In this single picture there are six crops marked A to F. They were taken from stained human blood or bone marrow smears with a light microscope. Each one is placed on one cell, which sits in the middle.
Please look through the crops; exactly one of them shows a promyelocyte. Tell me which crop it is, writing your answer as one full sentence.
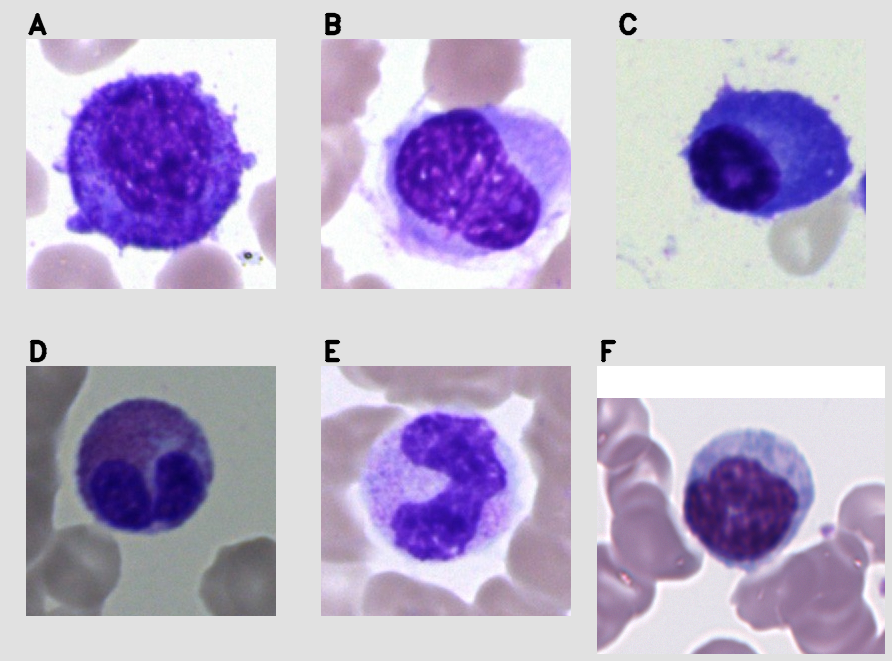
The crop marked A is the one in which a promyelocyte is shown.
